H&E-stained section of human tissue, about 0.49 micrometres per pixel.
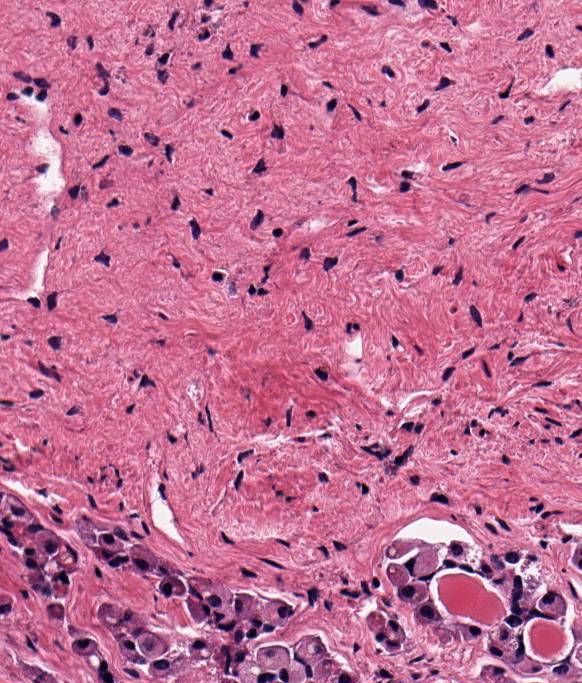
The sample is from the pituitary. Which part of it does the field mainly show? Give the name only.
neurohypophysis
